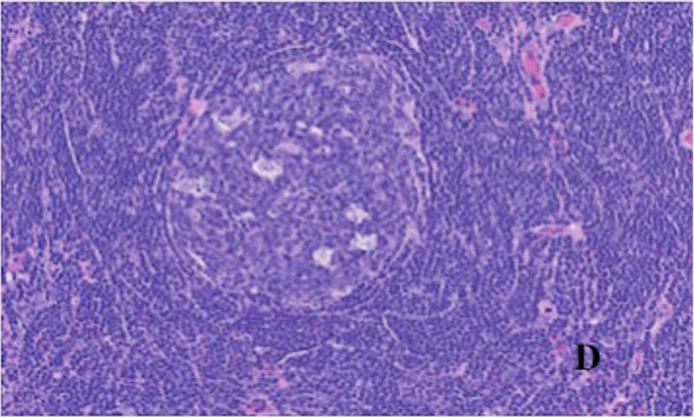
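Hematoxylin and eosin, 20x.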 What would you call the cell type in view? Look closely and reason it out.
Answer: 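Several scattered cells with pale, clear cytoplasm lie within a rounded pale centre. The clear cells stand out against the surrounding denser cells, giving a starry pattern. So: Tingible body macrophages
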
